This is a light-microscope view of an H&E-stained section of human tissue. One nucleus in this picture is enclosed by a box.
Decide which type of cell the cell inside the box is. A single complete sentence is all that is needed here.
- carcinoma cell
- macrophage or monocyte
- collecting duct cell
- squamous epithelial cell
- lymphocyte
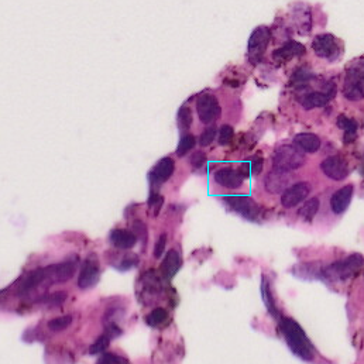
To be brief about it, the cell inside the box is a carcinoma cell.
